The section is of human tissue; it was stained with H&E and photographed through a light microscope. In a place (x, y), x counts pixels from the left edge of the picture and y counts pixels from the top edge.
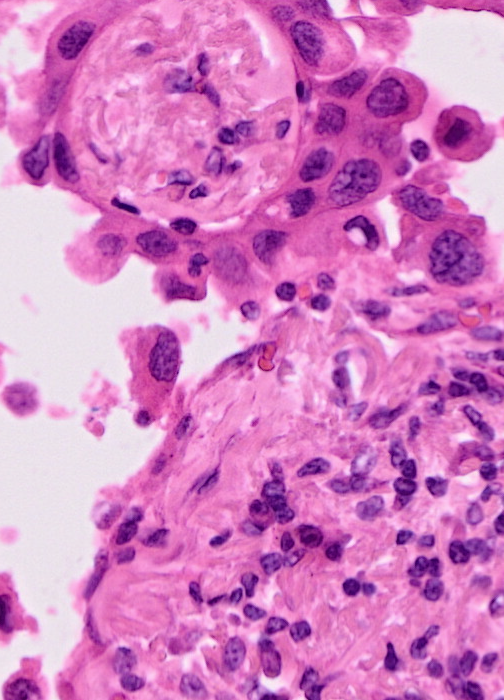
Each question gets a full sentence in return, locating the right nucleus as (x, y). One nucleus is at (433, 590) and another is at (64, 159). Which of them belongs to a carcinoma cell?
Of the two nuclei, the one at (64, 159) belongs to a carcinoma cell.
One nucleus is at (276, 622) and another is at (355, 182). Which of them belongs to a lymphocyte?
The nucleus at position (276, 622) belongs to a lymphocyte.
